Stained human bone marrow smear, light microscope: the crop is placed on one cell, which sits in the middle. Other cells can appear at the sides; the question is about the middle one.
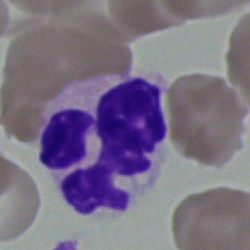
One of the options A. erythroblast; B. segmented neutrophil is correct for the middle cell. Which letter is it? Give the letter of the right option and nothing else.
B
